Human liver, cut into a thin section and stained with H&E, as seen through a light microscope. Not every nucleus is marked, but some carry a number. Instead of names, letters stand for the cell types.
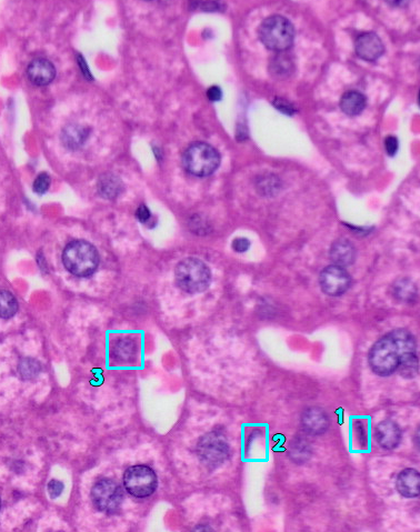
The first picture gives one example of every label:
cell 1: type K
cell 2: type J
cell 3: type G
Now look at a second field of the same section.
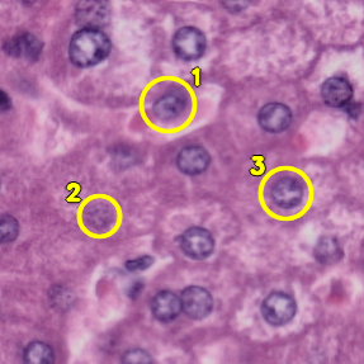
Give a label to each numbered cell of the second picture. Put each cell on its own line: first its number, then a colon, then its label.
1: type K
2: type G
3: type G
